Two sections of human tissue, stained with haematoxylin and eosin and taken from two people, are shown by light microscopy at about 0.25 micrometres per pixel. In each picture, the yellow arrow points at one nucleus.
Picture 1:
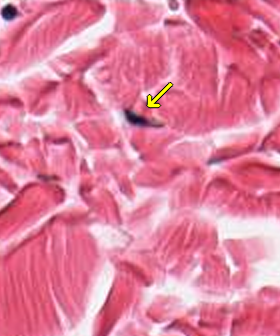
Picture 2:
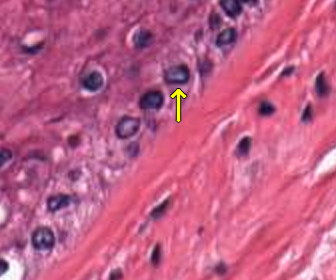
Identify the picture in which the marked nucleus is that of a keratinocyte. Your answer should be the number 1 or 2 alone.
2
